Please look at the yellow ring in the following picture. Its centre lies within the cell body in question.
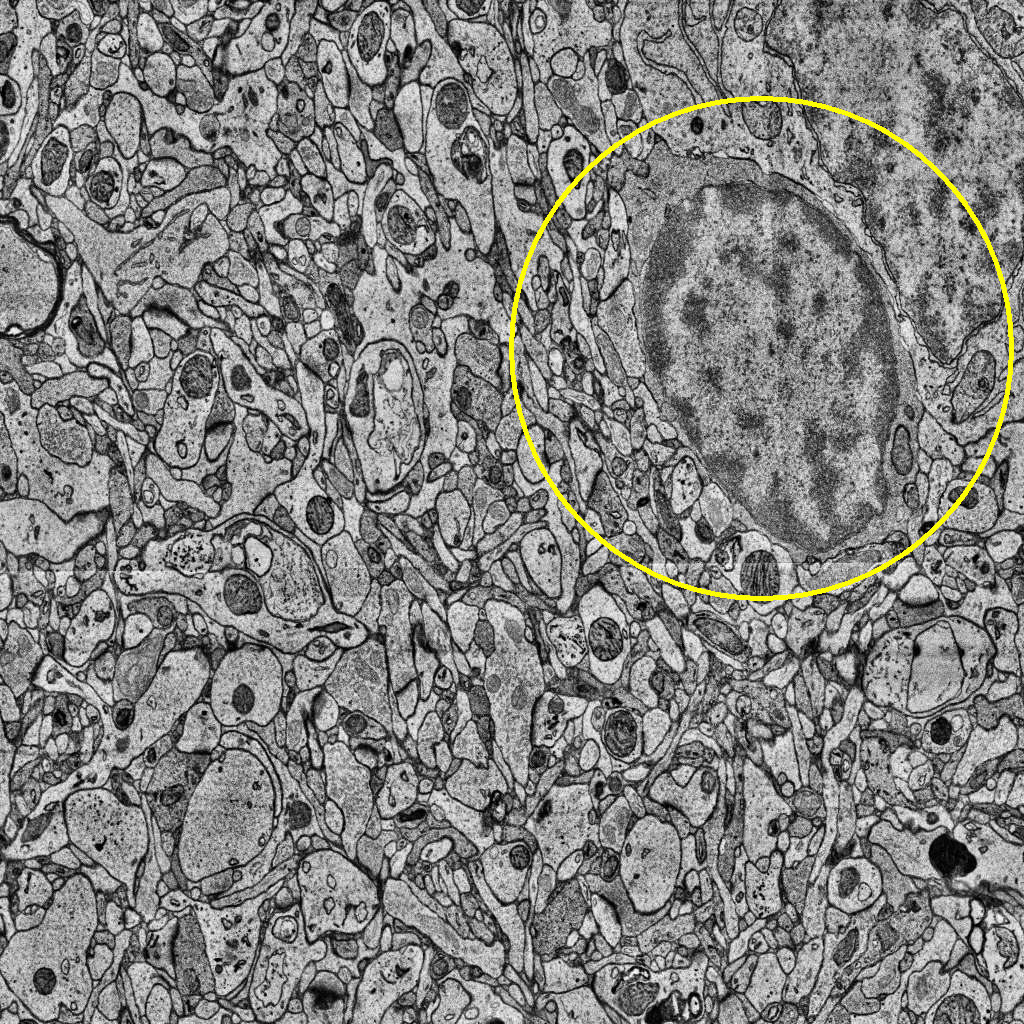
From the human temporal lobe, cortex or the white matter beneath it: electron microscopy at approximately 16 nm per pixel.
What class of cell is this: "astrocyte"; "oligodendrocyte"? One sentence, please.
The centre of the ring lies in the cell body of an oligodendrocyte.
